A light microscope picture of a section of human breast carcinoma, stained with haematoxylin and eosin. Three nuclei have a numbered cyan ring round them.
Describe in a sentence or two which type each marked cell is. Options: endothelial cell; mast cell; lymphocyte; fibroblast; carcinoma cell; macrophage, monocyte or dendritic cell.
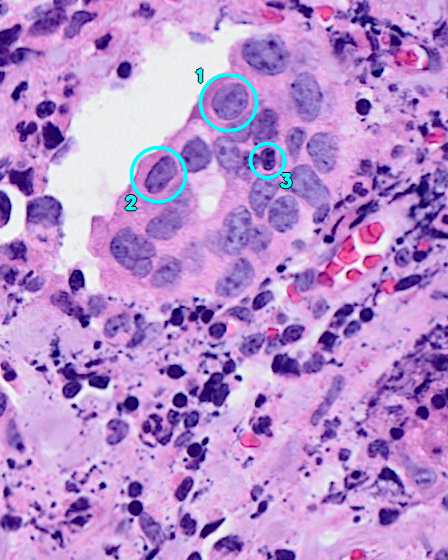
Cell 1 is a carcinoma cell, cell 2 is a carcinoma cell and cell 3 is a lymphocyte.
